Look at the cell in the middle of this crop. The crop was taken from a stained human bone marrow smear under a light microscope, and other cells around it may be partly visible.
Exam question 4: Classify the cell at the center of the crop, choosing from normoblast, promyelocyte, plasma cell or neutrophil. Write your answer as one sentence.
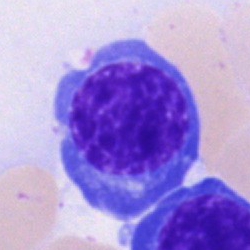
The central cell shown in this smear crop is a normoblast.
